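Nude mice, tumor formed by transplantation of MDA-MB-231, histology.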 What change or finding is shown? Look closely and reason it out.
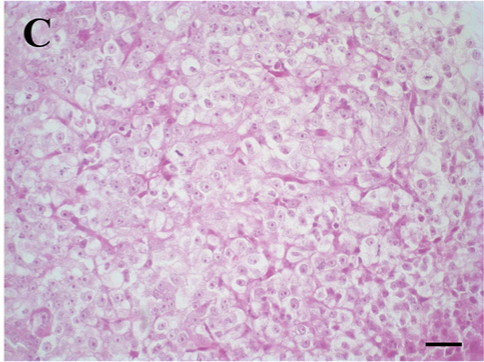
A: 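Nuclei vary clearly in size and shape from cell to cell. Cells are densely packed in sheets with no orderly arrangement. Many nuclei show a distinct nucleolus. So: pleomorphism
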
